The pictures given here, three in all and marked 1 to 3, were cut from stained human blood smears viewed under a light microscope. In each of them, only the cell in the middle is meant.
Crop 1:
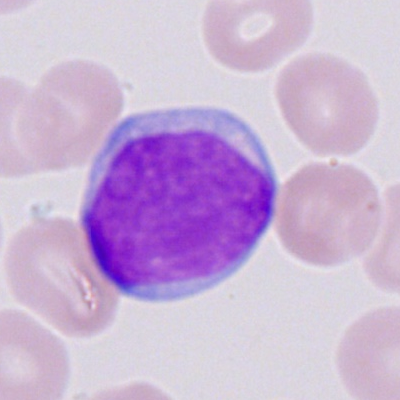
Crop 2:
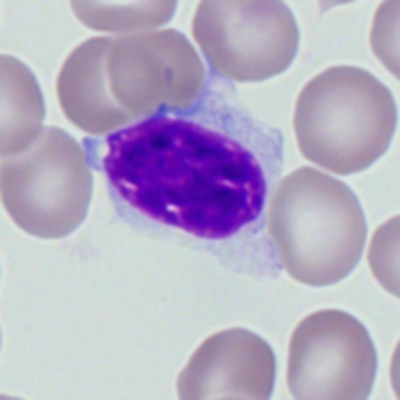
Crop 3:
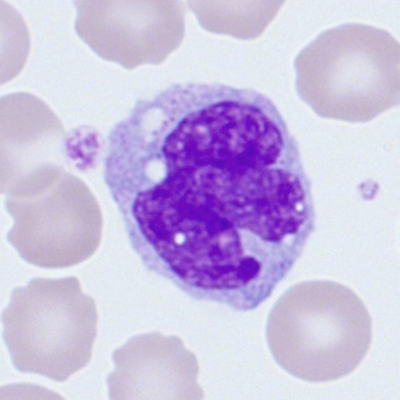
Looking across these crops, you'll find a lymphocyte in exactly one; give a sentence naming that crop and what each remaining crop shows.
In crop 2 one sees a lymphocyte, while crop 1 is a myeloblast and crop 3 is a monocyte.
